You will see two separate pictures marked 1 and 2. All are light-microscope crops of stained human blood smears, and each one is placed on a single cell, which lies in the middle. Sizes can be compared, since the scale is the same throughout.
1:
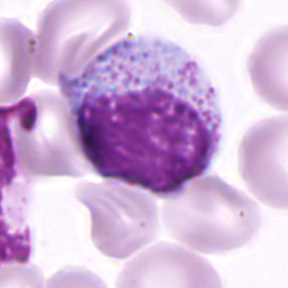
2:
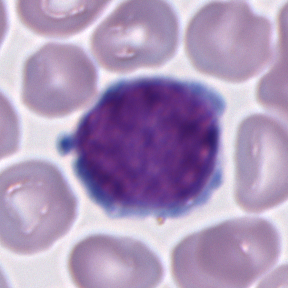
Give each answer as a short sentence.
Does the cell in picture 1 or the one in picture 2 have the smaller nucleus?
It is the nucleus in picture 1; the one in picture 2 has about 1.5 times its area.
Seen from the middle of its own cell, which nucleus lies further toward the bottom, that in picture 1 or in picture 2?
The nucleus in picture 1 lies further toward the bottom of its cell.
